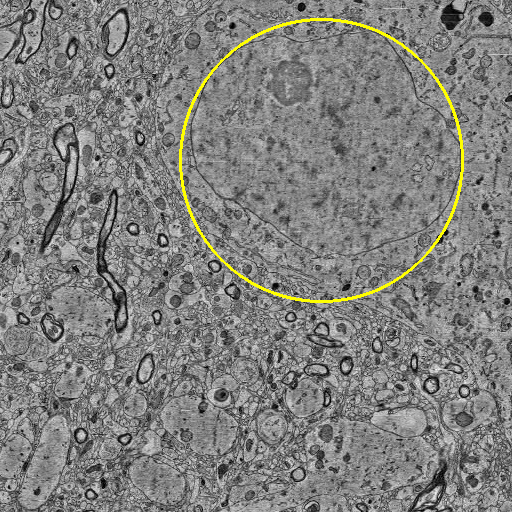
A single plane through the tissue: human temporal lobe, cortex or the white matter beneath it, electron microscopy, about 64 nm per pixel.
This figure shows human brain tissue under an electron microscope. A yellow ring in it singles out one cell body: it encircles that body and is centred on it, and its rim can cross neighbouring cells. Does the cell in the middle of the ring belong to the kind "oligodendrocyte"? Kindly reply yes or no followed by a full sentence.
No, the cell centred in the figure's ring belongs to a different kind from the one asked.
